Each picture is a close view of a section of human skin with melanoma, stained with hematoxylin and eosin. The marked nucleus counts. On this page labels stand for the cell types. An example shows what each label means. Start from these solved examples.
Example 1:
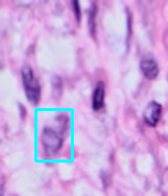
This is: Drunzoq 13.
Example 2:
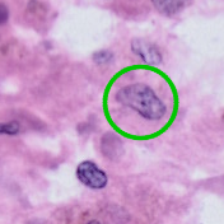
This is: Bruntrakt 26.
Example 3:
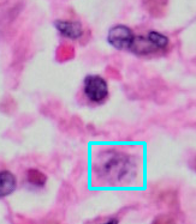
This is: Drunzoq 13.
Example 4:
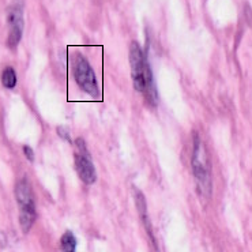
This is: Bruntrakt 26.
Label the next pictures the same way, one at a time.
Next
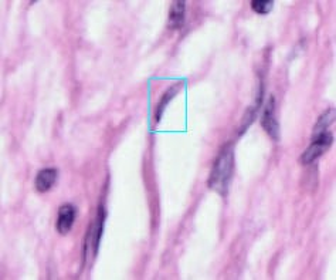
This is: Drunzoq 13.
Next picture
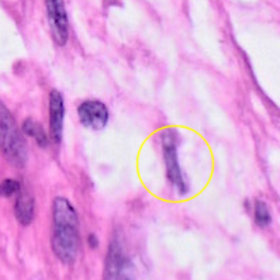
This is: Drunzoq 13.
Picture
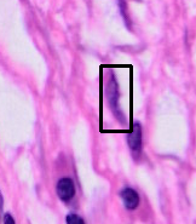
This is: Drunzoq 13.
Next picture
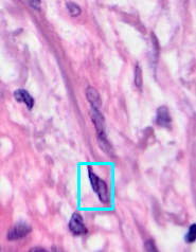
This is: Drunzoq 13.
